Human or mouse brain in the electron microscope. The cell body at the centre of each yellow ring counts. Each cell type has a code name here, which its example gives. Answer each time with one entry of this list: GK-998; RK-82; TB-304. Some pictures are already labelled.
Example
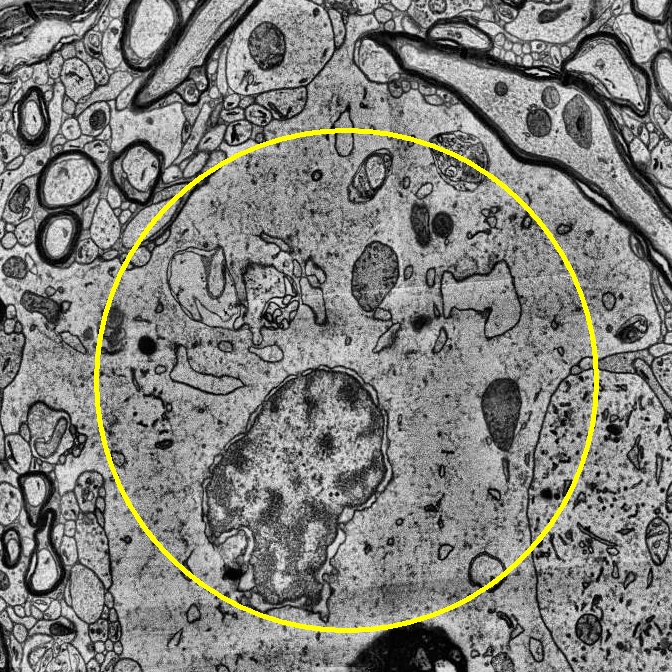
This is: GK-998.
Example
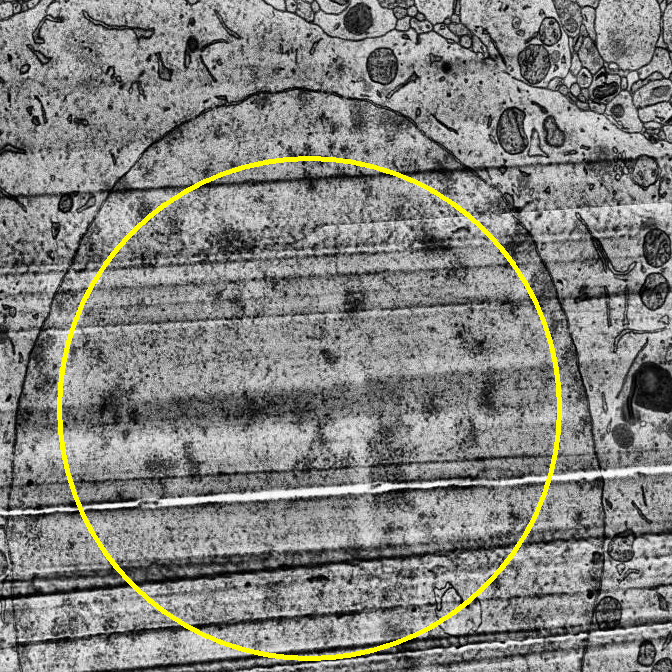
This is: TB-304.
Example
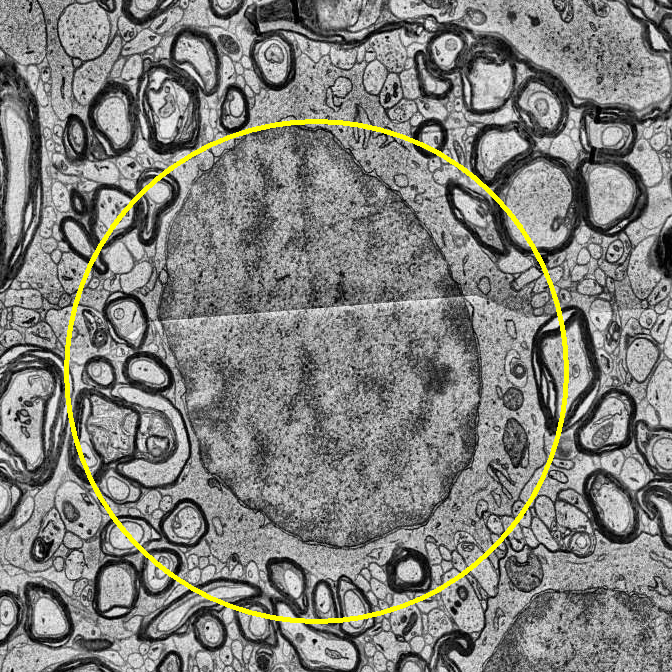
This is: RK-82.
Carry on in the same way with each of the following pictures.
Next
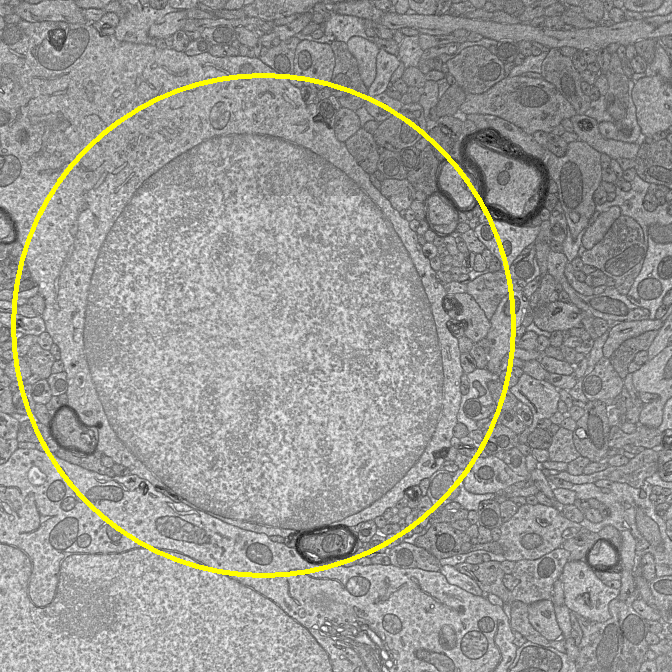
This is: RK-82.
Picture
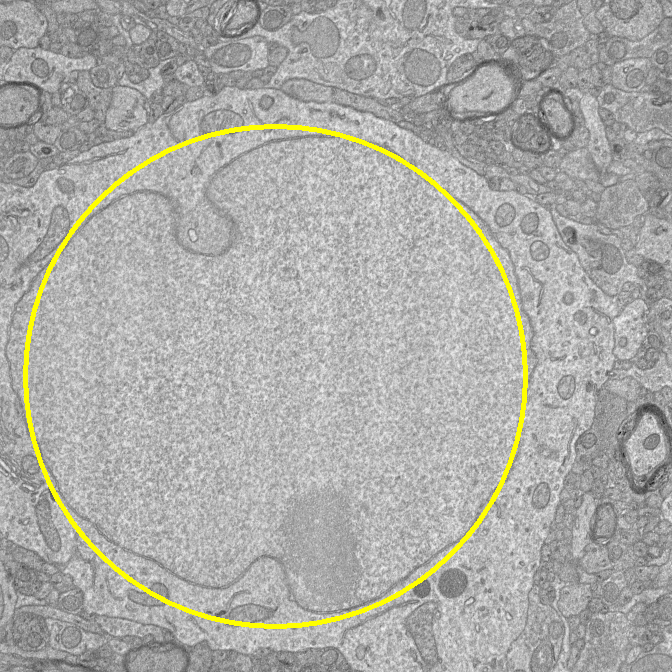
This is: TB-304.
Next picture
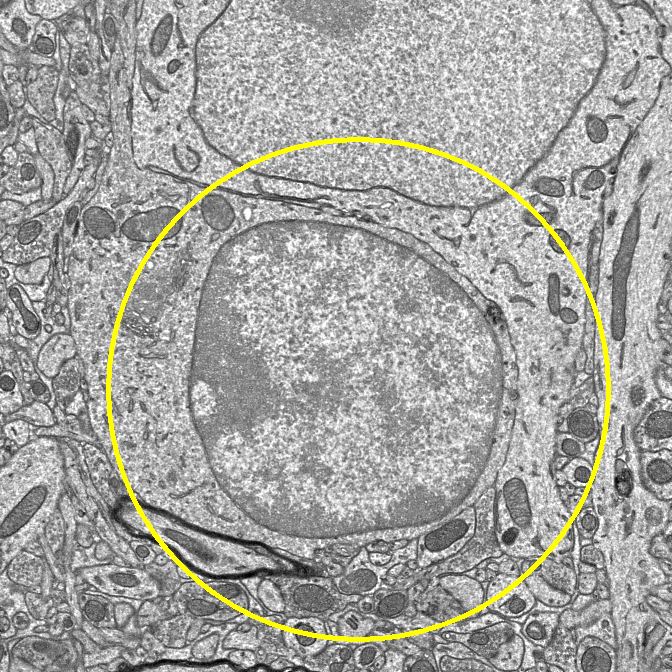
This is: RK-82.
